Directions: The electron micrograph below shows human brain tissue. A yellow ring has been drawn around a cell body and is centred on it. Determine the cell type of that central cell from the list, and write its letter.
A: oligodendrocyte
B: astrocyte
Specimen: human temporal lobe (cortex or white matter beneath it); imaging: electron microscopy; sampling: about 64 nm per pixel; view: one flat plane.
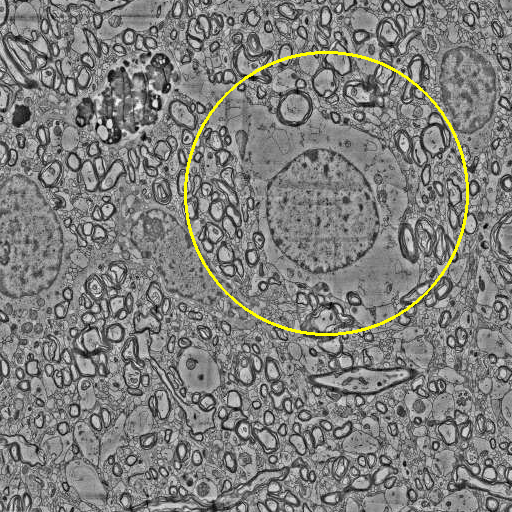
B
